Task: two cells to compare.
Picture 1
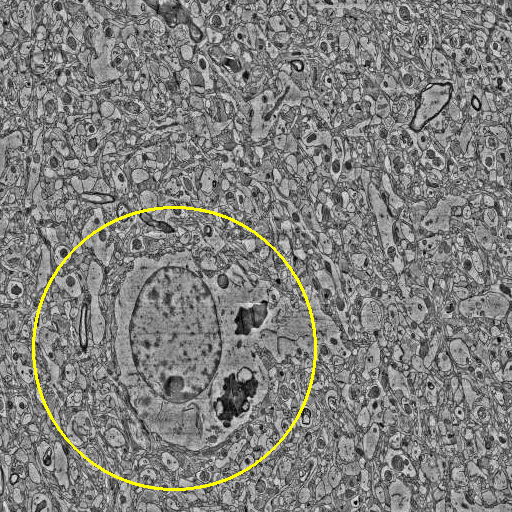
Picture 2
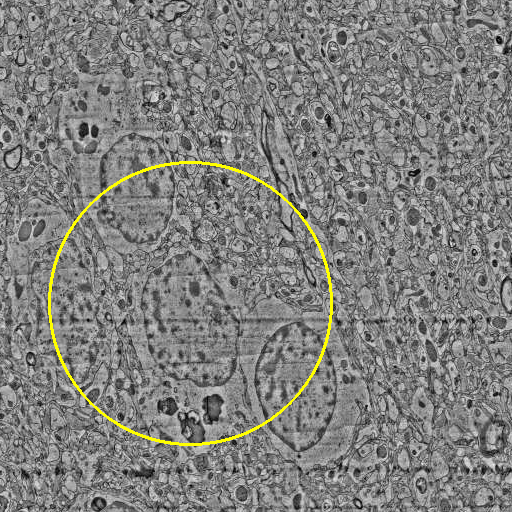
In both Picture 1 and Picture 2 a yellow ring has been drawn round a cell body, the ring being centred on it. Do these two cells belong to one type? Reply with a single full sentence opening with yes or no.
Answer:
Yes, the two cells at the ring centres in Picture 1 and Picture 2 share one type.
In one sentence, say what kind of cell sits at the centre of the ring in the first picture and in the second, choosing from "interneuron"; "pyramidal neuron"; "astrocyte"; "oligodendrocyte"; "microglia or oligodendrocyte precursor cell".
Both pictures show an astrocyte at the centre of the ring.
